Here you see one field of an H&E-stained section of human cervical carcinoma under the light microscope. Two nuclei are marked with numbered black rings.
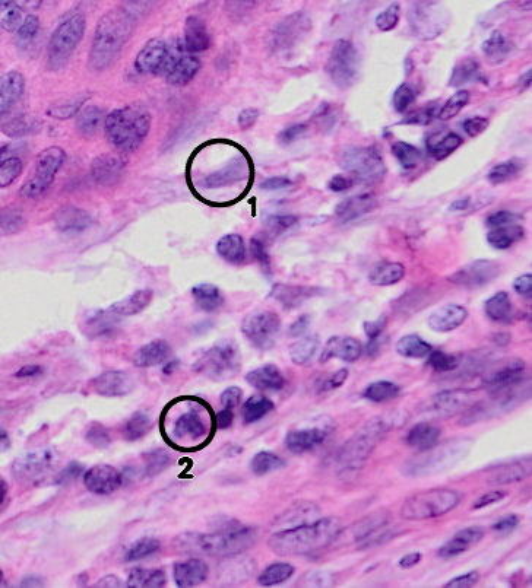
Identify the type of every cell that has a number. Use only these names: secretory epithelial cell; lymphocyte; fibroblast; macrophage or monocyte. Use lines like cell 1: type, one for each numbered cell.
cell 1: fibroblast
cell 2: lymphocyte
